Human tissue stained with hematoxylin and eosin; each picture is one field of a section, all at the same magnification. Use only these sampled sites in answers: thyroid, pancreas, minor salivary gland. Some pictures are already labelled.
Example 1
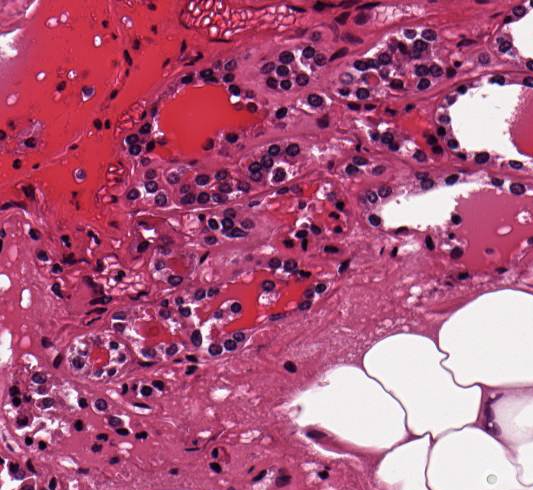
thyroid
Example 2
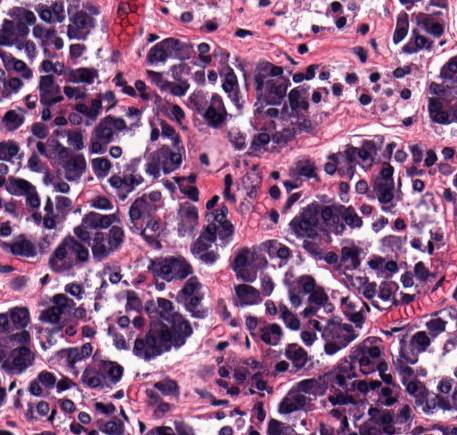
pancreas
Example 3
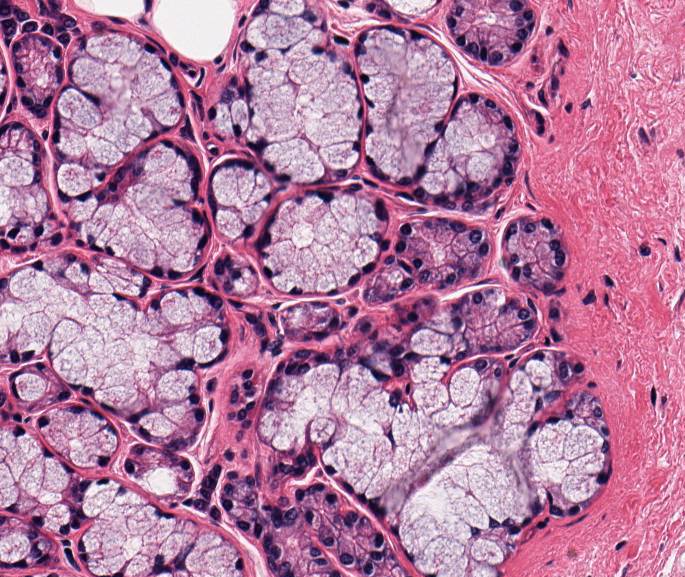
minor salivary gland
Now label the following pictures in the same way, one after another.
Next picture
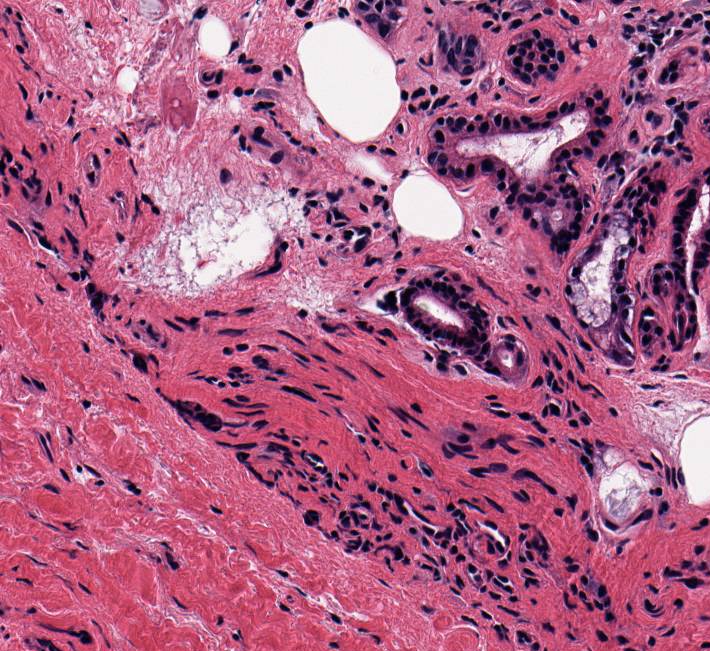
minor salivary gland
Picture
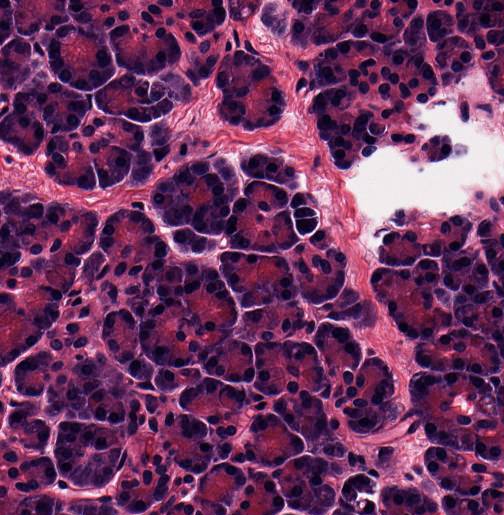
pancreas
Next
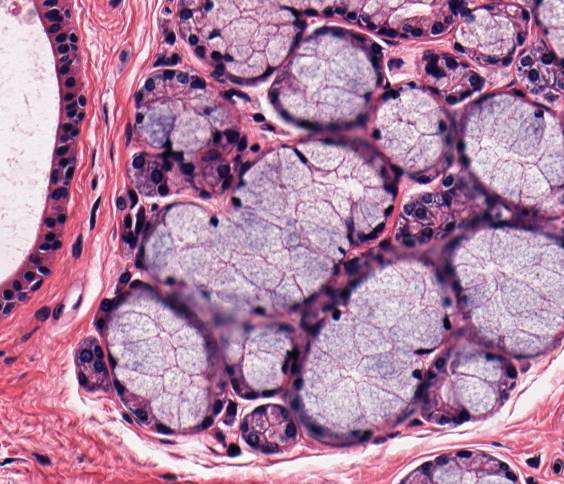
minor salivary gland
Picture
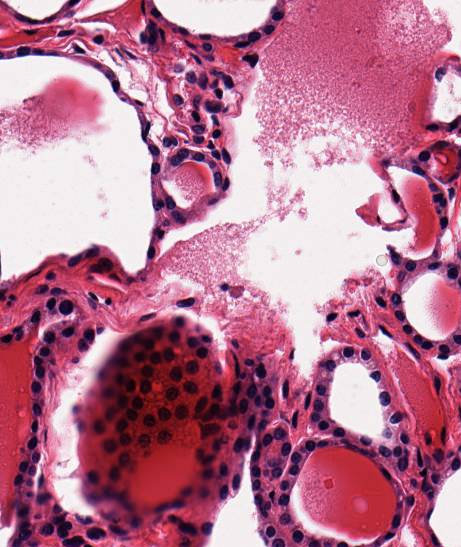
thyroid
